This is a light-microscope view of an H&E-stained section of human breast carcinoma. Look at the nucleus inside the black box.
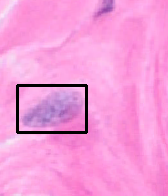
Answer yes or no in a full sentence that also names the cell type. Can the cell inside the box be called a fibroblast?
Yes, the cell inside the box in this field is a fibroblast.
